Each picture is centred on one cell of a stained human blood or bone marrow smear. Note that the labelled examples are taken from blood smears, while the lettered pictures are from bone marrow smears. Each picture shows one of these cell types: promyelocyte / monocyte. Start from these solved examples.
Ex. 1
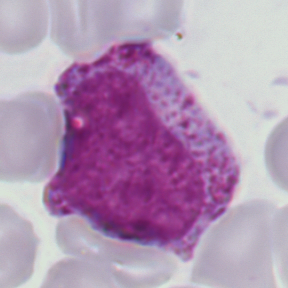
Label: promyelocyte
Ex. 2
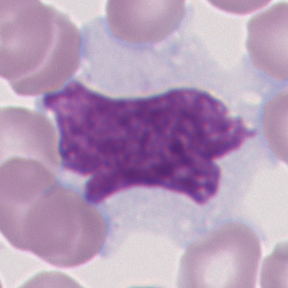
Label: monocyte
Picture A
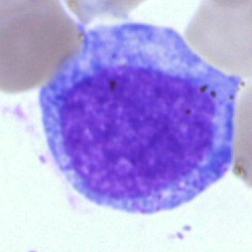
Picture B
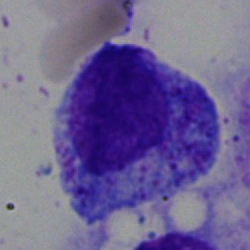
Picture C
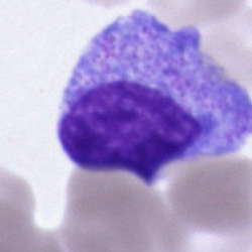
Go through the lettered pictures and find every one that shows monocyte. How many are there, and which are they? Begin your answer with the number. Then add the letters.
0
